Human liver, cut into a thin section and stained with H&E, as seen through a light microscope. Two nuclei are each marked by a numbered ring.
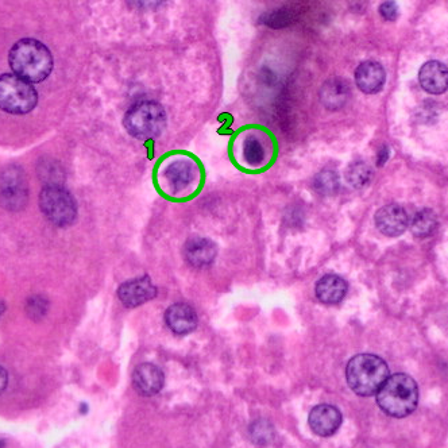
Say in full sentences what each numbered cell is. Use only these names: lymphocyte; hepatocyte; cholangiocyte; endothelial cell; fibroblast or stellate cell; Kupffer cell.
Cell 1 is a Kupffer cell. Cell 2 is a lymphocyte.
